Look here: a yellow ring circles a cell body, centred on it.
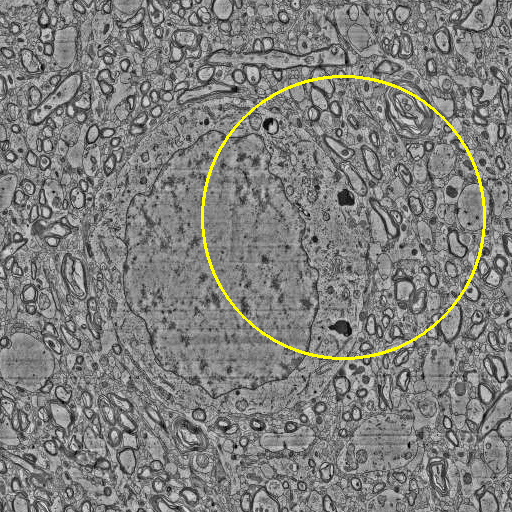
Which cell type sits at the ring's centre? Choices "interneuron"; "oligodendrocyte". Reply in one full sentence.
The cell at the centre of the yellow ring in the picture is an oligodendrocyte.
